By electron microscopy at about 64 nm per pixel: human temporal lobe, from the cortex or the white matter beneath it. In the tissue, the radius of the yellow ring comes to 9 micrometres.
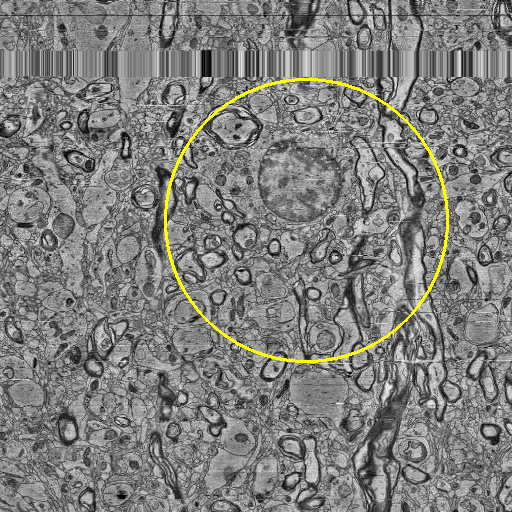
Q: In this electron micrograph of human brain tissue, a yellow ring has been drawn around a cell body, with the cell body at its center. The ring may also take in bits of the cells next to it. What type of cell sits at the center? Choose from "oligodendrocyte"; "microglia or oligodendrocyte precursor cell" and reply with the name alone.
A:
oligodendrocyte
